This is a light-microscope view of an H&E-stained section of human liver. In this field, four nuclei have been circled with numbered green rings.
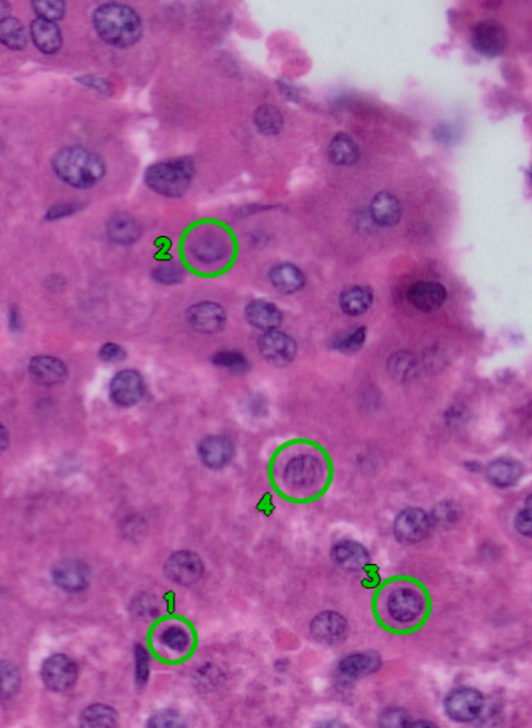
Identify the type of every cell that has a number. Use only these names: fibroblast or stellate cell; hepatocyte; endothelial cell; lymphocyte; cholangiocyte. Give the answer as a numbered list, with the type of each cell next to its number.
1. lymphocyte
2. hepatocyte
3. hepatocyte
4. hepatocyte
